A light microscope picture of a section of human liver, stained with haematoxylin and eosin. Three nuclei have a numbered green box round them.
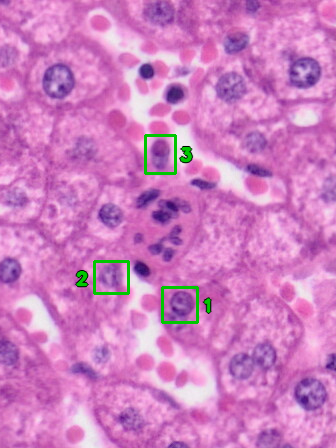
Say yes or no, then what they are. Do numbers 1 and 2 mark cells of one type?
Yes, both are hepatocytes.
